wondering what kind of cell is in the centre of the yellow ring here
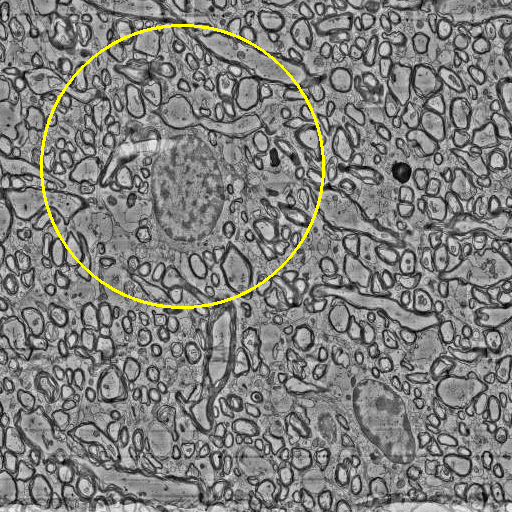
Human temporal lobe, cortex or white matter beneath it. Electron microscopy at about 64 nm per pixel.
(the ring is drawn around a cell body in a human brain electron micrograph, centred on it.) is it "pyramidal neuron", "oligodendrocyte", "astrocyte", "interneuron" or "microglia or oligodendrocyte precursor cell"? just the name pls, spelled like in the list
oligodendrocyte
